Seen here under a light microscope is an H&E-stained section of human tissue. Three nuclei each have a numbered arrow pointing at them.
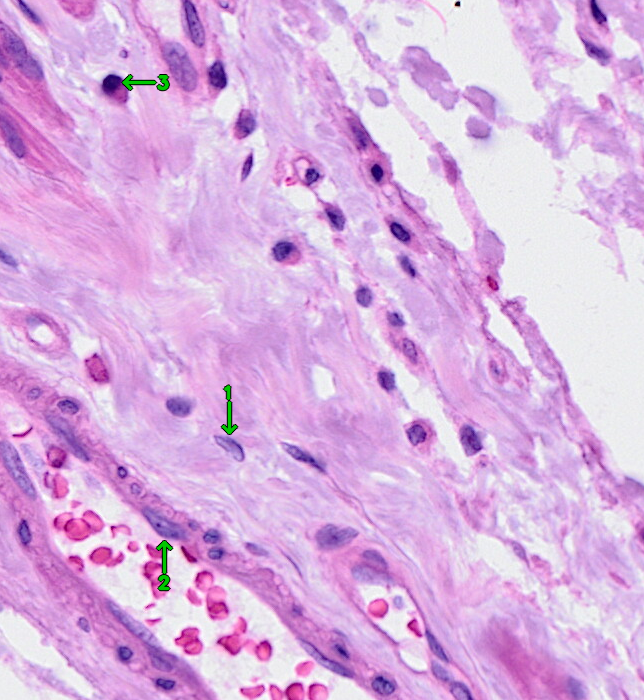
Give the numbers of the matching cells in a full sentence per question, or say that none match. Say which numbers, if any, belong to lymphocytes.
Just one of the numbered cells is a lymphocyte, namely number 3.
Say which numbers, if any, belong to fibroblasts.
Being a fibroblast is true of cell 1 and of no other numbered cell.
